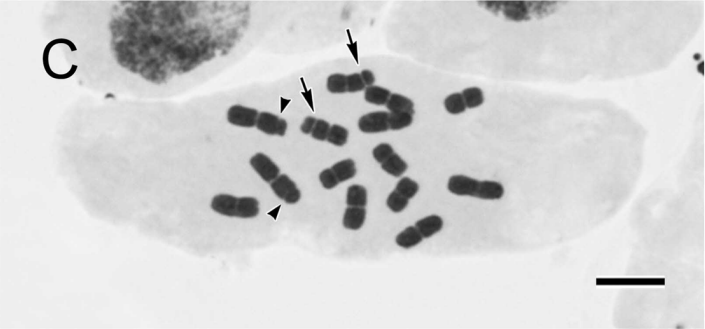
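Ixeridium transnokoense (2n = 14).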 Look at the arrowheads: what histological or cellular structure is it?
Small constrictions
